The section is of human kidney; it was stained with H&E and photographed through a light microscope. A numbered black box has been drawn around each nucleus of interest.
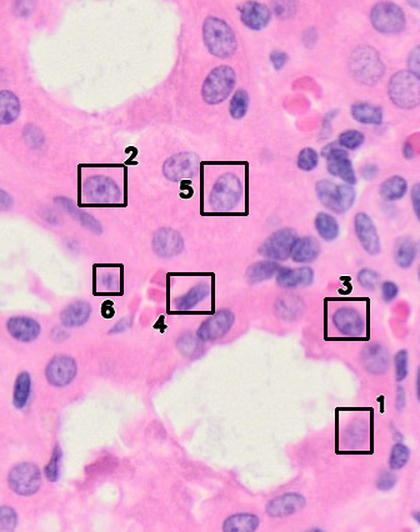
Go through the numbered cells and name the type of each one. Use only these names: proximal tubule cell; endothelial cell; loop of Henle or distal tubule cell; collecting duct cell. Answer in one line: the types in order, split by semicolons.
proximal tubule cell; proximal tubule cell; proximal tubule cell; endothelial cell; proximal tubule cell; collecting duct cell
